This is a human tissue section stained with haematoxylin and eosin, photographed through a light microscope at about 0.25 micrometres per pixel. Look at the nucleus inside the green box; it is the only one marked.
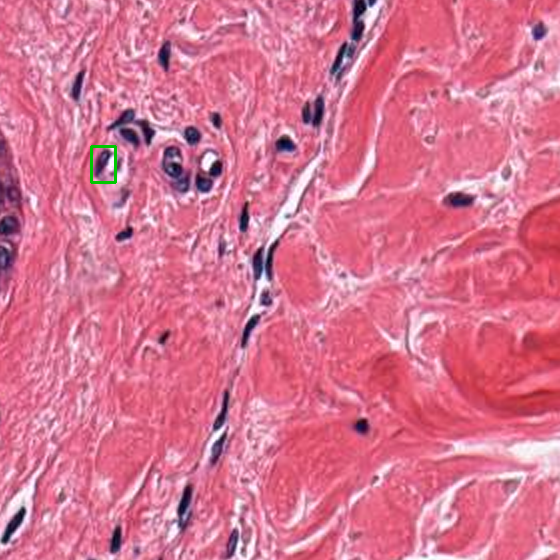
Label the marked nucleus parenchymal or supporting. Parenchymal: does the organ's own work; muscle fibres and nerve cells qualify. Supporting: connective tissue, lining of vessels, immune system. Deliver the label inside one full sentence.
The marked nucleus is held by a supporting cell.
